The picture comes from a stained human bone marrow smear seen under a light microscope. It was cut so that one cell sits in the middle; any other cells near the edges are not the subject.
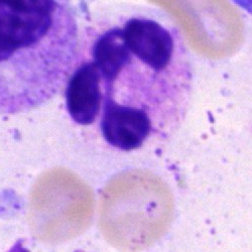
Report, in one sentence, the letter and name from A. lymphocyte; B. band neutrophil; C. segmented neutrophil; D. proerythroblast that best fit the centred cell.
Option C correctly states that the central cell is a segmented neutrophil.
